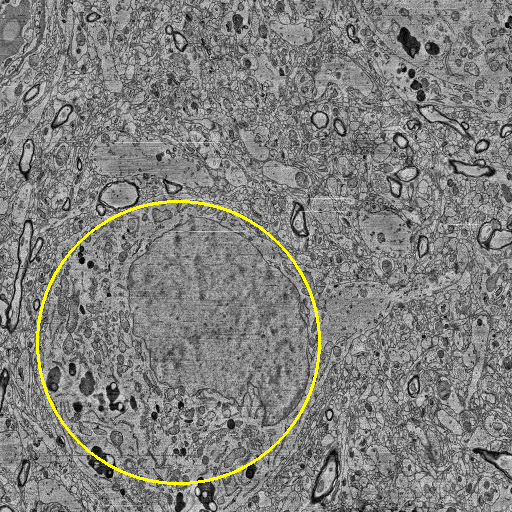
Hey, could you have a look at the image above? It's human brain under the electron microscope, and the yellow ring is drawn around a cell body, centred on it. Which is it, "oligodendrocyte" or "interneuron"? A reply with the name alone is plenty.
interneuron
